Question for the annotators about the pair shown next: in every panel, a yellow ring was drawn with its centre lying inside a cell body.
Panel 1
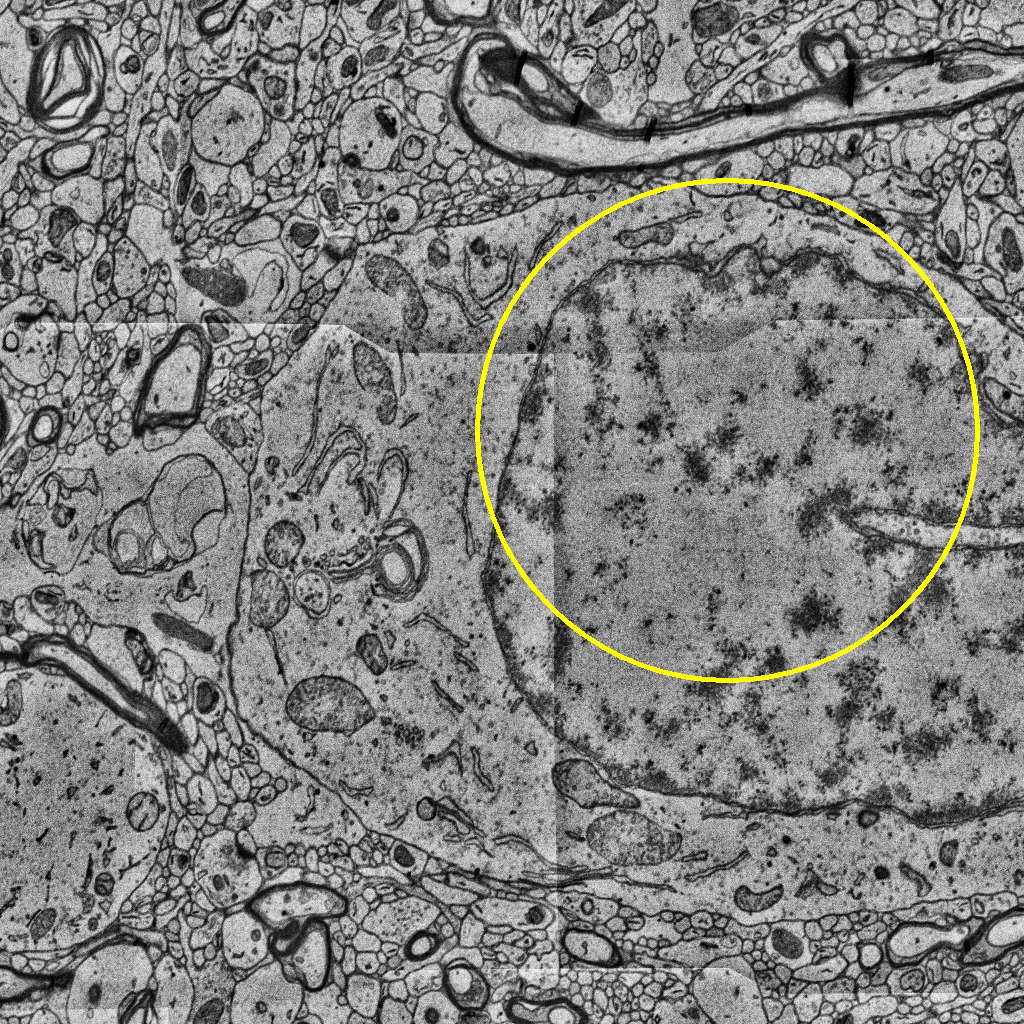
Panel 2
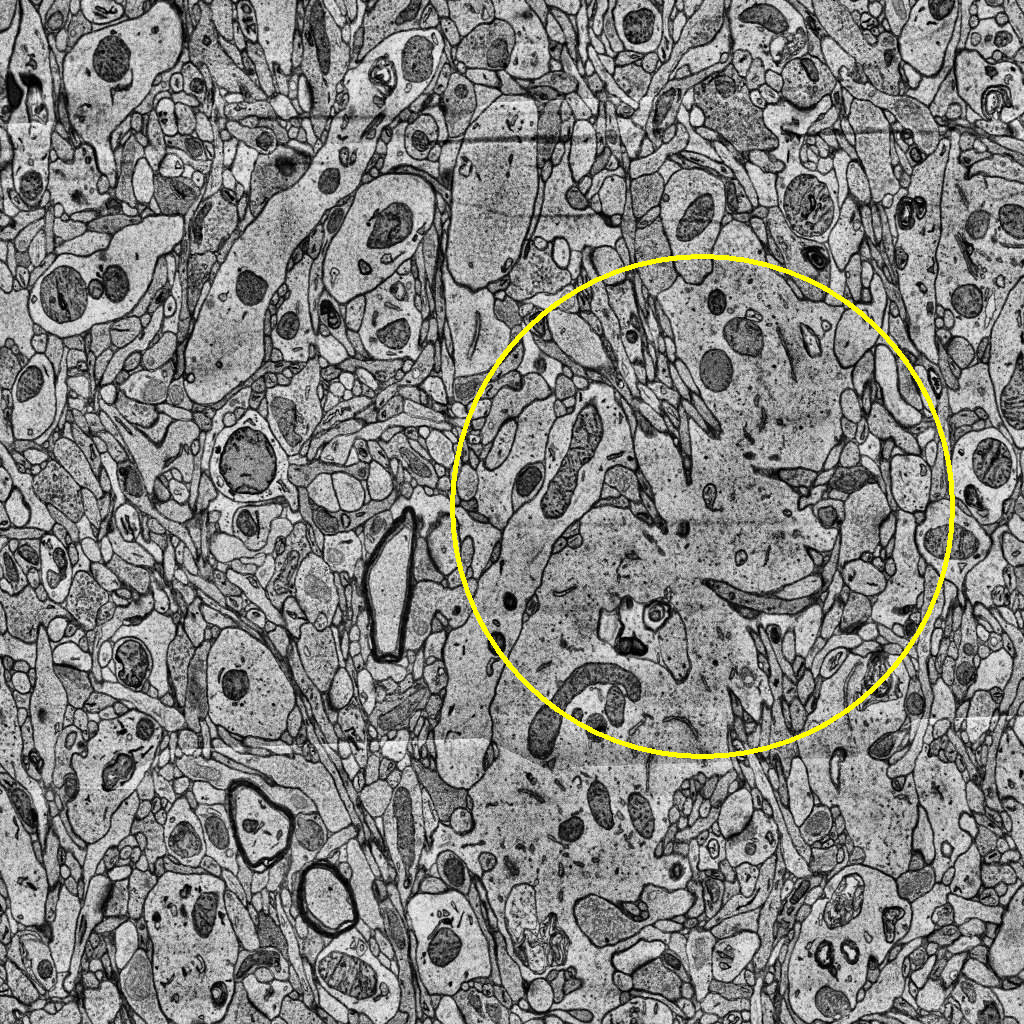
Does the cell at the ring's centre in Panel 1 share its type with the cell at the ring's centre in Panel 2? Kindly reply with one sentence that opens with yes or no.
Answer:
No, in Panels 1 and 2 the cells at the ring centres belong to separate types.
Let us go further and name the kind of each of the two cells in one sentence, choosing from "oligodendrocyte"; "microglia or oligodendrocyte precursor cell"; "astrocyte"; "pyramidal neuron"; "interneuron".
Here the first cell is an interneuron and the second cell is an astrocyte.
